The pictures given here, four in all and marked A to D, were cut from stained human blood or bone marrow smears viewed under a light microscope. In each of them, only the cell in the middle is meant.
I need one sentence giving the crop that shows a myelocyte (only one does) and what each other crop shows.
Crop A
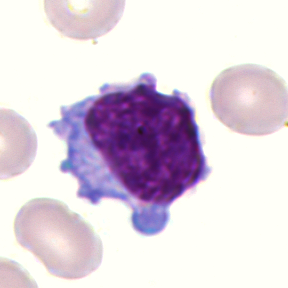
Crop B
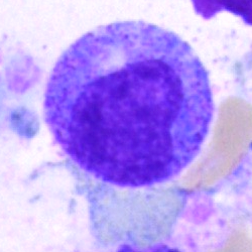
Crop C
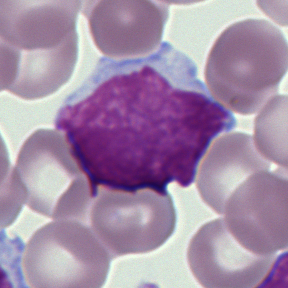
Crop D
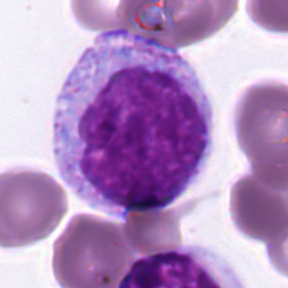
Crop D features a myelocyte, while crop A is a plasma cell, crop B is a promyelocyte and crop C is a lymphocyte.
